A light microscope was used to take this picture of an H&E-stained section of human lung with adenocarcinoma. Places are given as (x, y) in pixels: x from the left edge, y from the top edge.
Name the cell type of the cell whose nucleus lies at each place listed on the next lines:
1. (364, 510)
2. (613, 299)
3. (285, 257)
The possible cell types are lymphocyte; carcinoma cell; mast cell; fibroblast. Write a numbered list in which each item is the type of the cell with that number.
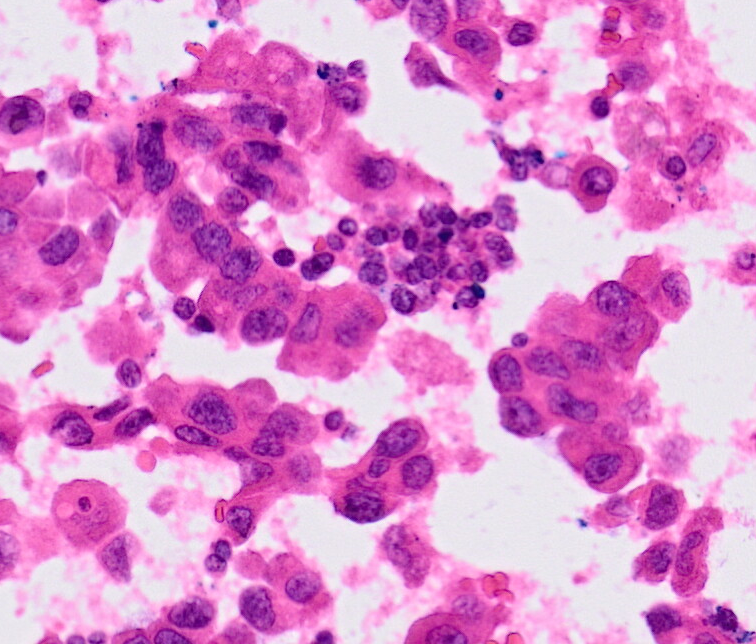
1. carcinoma cell
2. carcinoma cell
3. lymphocyte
